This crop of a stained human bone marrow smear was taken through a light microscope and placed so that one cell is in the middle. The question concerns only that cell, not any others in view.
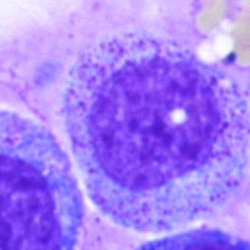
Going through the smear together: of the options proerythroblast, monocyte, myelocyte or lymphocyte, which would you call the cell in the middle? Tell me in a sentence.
As for the cell in the middle, it is a myelocyte.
